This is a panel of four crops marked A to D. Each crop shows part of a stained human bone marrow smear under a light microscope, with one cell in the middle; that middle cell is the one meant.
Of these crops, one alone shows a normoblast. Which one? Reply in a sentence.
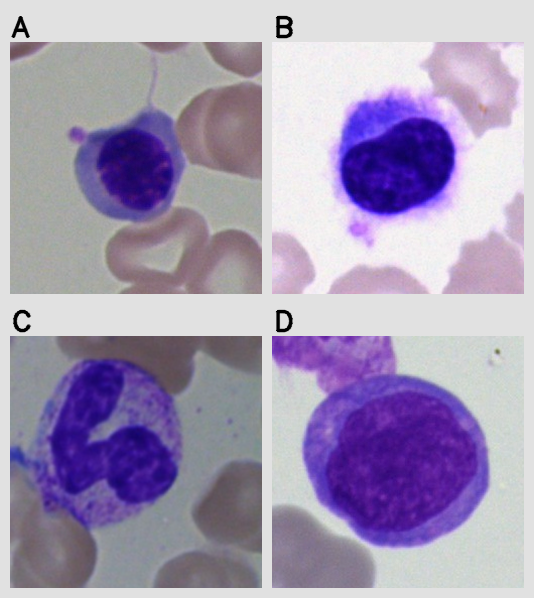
On review of the set, crop A is the one showing a normoblast.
